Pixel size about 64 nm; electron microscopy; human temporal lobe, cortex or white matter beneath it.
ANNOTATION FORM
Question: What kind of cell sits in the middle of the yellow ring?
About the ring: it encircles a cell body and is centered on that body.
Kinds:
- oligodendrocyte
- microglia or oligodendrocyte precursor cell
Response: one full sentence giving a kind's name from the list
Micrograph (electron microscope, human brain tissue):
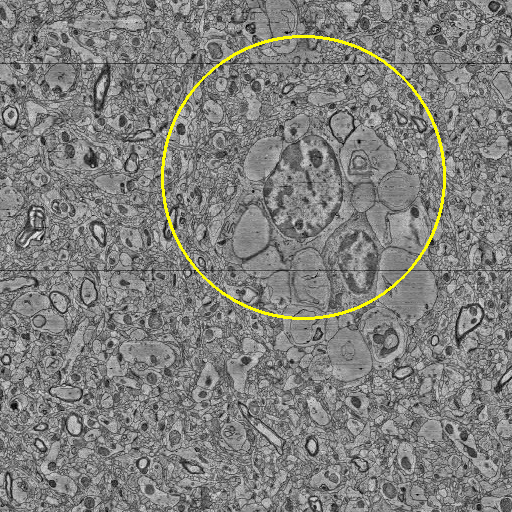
The kind of cell found at the center of the yellow ring in the micrograph is a microglial cell or oligodendrocyte precursor cell.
